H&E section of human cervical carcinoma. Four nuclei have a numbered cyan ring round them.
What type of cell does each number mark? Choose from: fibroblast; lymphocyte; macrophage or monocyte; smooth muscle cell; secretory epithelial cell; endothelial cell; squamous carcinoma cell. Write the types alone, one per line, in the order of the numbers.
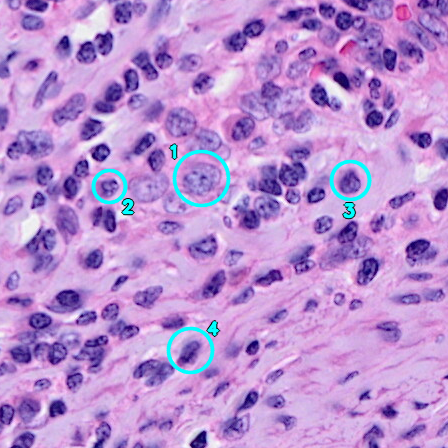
endothelial cell
lymphocyte
lymphocyte
lymphocyte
